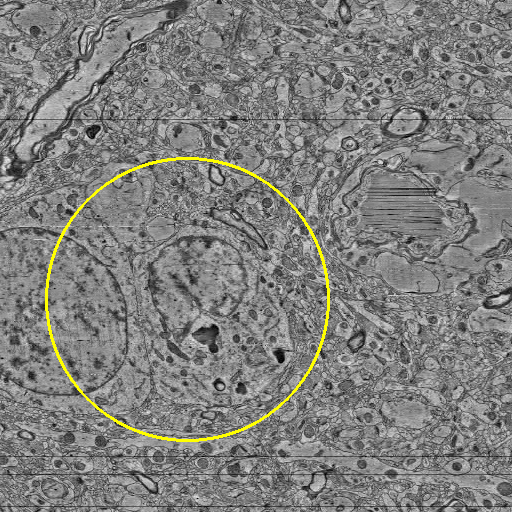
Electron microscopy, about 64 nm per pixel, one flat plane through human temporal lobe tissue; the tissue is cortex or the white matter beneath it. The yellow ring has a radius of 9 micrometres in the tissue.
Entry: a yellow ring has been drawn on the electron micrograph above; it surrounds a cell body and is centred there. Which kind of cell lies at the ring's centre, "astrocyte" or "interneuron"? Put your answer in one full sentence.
The cell sitting at the ring's centre is an interneuron in the micrograph above.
